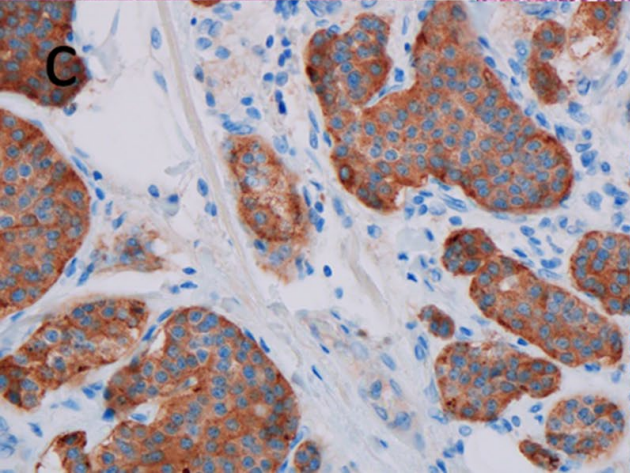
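Tumor cells in nests and cords stand in loose pale stroma and show a strong brown stain in their cytoplasm. The brown stain fills the cytoplasm of nearly every tumor cell in the nests. The spindle-shaped stromal cells between the nests are unstained and show only blue nuclei.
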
